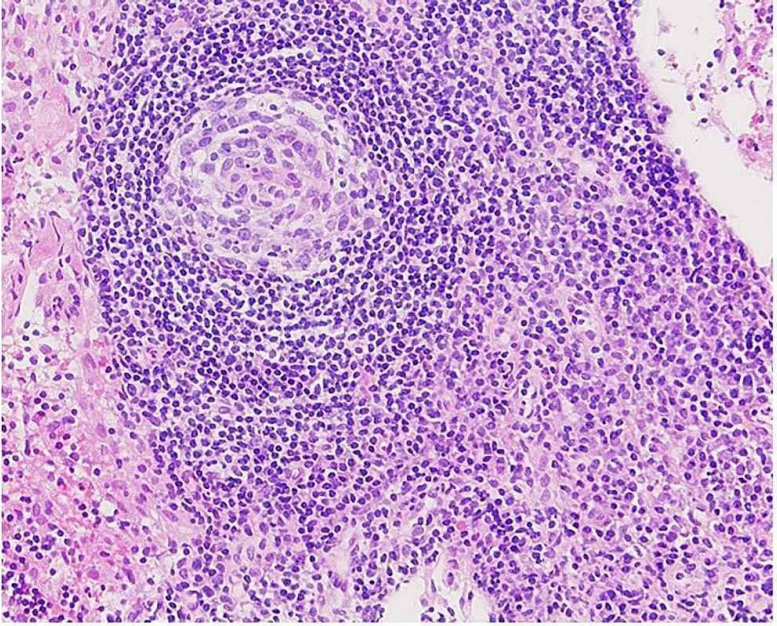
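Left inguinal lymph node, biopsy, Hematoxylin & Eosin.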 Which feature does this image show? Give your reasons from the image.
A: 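A small, pale, rounded center with few cells sits in the upper left of the panel. It is surrounded by a broad rim of densely packed small dark lymphocytes arranged in concentric layers. So: atrophic germinal center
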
